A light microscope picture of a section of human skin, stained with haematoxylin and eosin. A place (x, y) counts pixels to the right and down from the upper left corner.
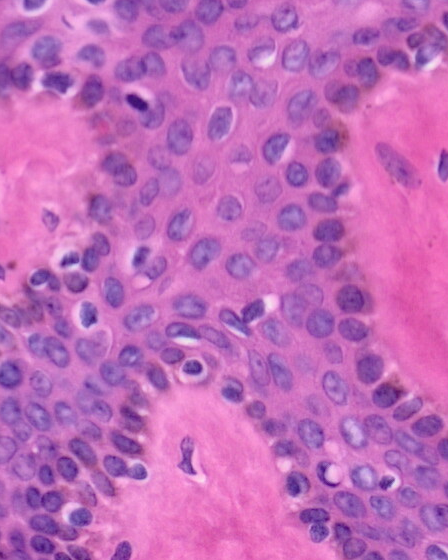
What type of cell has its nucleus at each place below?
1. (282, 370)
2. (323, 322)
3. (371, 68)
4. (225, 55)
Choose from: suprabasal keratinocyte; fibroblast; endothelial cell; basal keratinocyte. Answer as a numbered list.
1. suprabasal keratinocyte
2. suprabasal keratinocyte
3. basal keratinocyte
4. suprabasal keratinocyte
